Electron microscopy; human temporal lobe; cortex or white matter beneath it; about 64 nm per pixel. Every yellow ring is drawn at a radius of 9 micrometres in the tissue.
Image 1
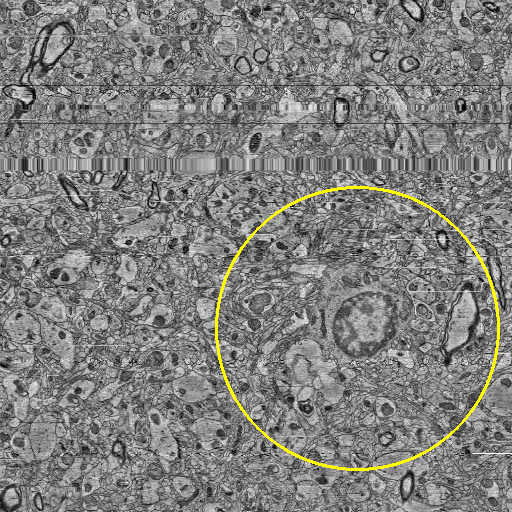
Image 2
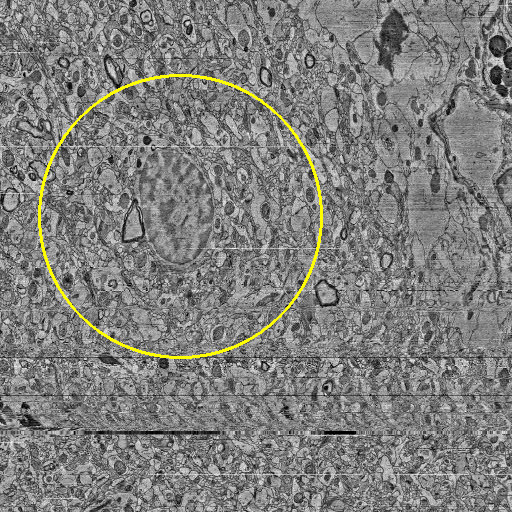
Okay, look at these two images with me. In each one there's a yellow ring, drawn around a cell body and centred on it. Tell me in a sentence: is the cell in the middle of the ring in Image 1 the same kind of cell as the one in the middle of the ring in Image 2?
Yes, they're the same kind of cell.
